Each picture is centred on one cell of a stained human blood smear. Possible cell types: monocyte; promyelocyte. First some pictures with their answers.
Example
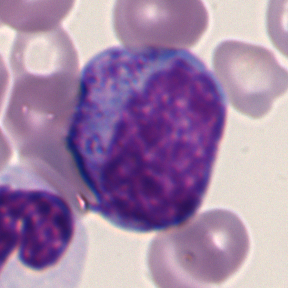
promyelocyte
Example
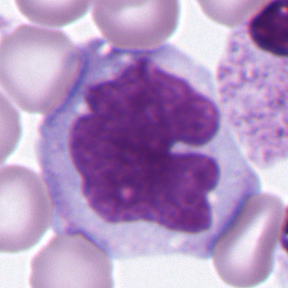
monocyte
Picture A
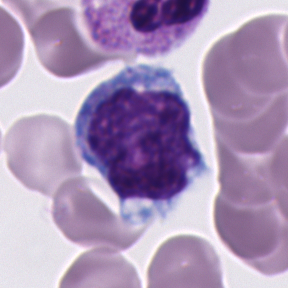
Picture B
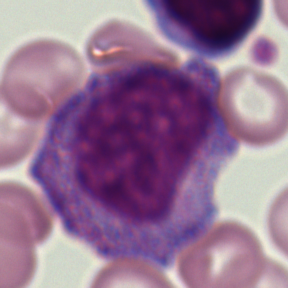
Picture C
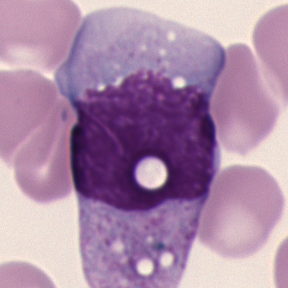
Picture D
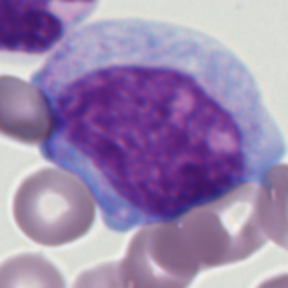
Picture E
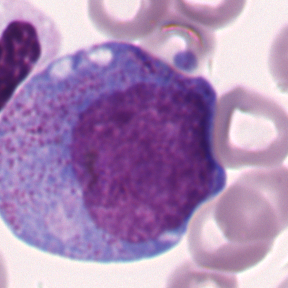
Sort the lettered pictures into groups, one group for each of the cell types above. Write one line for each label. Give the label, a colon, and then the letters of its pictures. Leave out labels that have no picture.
monocyte: A, C
promyelocyte: B, D, E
